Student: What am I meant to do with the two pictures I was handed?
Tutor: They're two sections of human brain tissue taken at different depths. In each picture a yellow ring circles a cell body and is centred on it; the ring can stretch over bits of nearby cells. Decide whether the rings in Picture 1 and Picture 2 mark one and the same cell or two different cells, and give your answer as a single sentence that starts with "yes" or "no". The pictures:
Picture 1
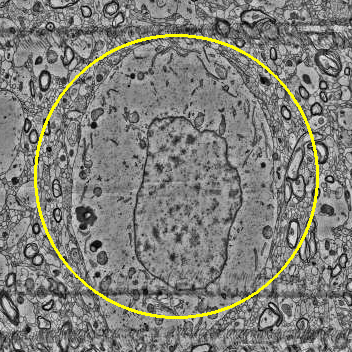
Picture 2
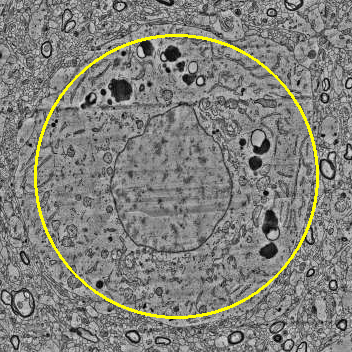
No, the two yellow rings surround two different cells.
